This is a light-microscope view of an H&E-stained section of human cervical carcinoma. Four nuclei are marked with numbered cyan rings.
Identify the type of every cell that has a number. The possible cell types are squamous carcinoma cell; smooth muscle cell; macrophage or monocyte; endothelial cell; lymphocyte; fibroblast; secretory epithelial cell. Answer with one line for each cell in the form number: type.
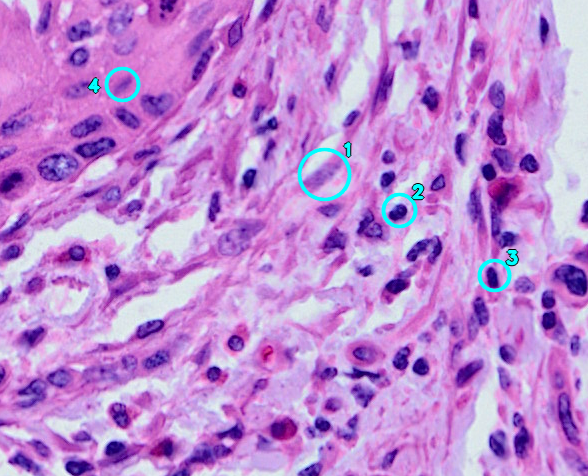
1: fibroblast
2: lymphocyte
3: lymphocyte
4: squamous carcinoma cell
